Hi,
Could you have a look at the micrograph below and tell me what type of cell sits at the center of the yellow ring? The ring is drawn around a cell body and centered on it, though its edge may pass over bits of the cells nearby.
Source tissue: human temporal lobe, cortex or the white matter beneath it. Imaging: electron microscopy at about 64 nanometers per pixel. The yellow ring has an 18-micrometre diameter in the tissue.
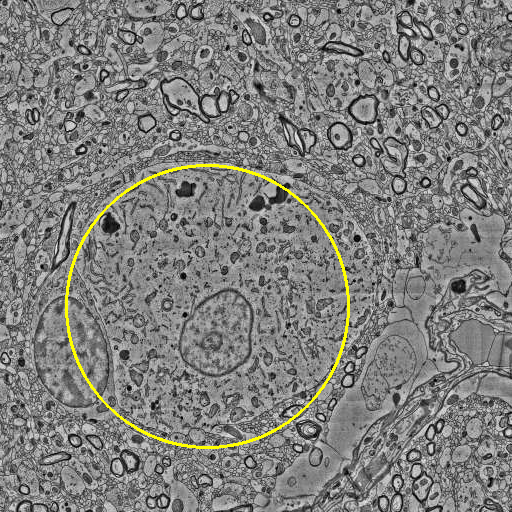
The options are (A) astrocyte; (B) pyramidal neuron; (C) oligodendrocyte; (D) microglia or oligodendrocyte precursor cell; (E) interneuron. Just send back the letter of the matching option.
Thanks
B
